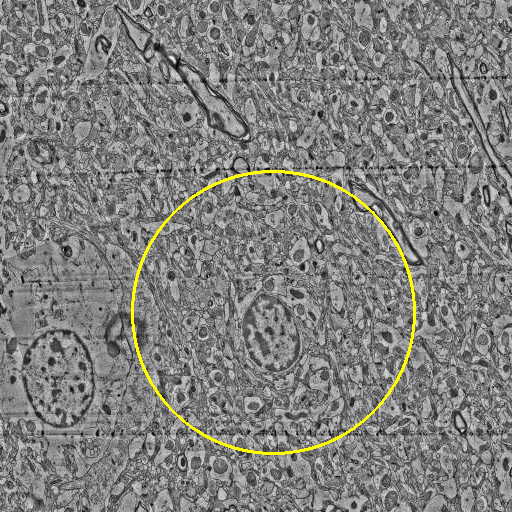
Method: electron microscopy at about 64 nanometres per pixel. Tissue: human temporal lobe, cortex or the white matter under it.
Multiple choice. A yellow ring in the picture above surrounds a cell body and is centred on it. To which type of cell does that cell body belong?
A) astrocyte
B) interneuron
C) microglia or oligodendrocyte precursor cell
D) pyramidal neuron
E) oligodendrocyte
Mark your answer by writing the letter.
C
